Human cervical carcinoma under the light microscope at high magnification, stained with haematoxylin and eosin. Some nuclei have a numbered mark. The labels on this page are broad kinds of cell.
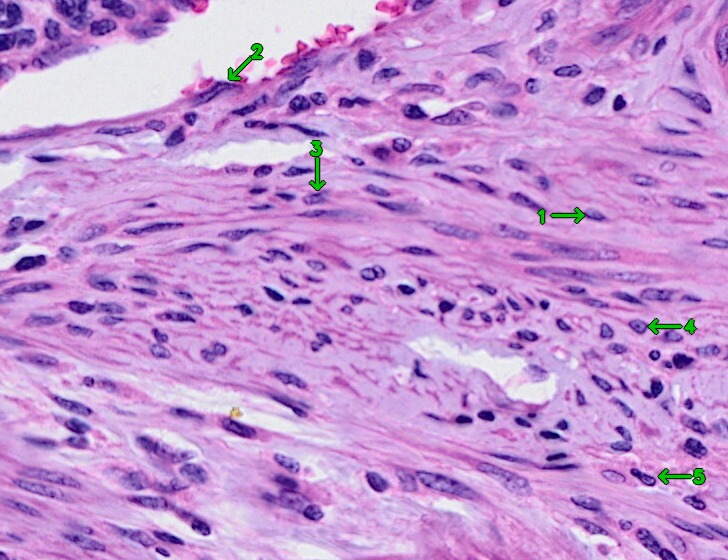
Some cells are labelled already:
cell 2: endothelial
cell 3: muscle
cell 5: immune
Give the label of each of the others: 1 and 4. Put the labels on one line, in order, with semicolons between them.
muscle; muscle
